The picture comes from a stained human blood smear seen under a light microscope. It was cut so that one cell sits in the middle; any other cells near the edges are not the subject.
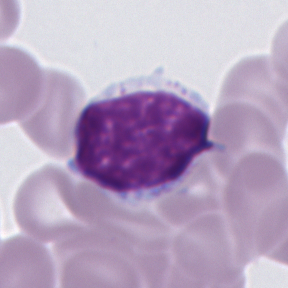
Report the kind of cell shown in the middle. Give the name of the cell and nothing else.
large granular lymphocyte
